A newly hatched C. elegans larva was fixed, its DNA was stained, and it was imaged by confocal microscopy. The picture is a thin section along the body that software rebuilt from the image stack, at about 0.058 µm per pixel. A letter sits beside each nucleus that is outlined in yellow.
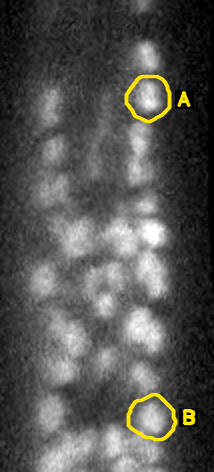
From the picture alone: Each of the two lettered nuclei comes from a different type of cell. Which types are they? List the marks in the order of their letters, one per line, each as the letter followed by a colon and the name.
A: hypodermal cell (hyp)
B: neuron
